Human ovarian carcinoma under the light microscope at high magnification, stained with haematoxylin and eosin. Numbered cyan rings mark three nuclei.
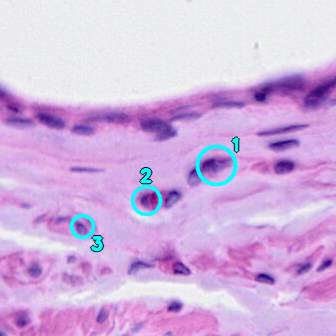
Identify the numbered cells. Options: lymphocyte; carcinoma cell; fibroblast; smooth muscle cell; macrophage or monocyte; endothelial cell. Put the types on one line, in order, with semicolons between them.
endothelial cell; endothelial cell; smooth muscle cell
